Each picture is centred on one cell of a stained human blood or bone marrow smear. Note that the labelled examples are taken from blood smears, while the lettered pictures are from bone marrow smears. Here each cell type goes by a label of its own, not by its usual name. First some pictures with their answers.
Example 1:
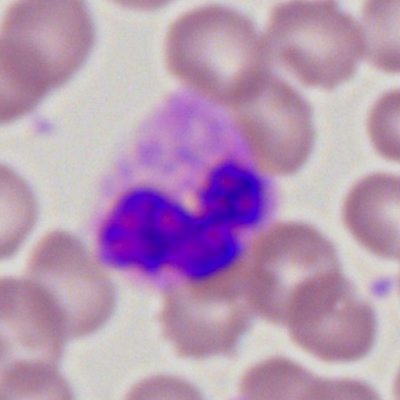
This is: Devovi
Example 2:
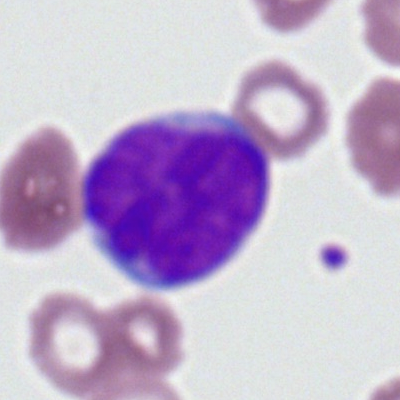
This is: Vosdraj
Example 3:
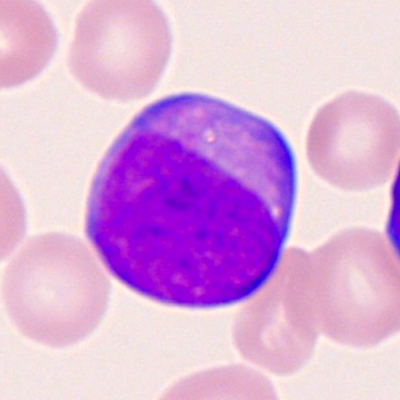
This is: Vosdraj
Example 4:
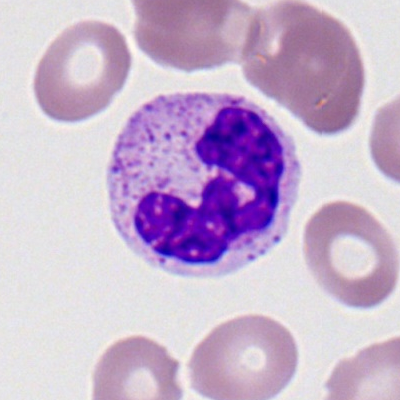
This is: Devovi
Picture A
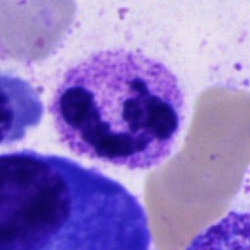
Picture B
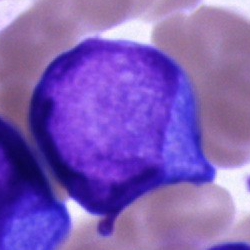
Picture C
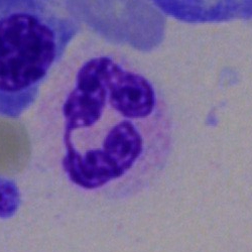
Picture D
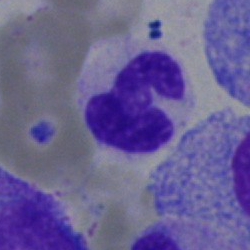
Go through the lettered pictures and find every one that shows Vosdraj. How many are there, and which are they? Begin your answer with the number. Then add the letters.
Count: 1 (B)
